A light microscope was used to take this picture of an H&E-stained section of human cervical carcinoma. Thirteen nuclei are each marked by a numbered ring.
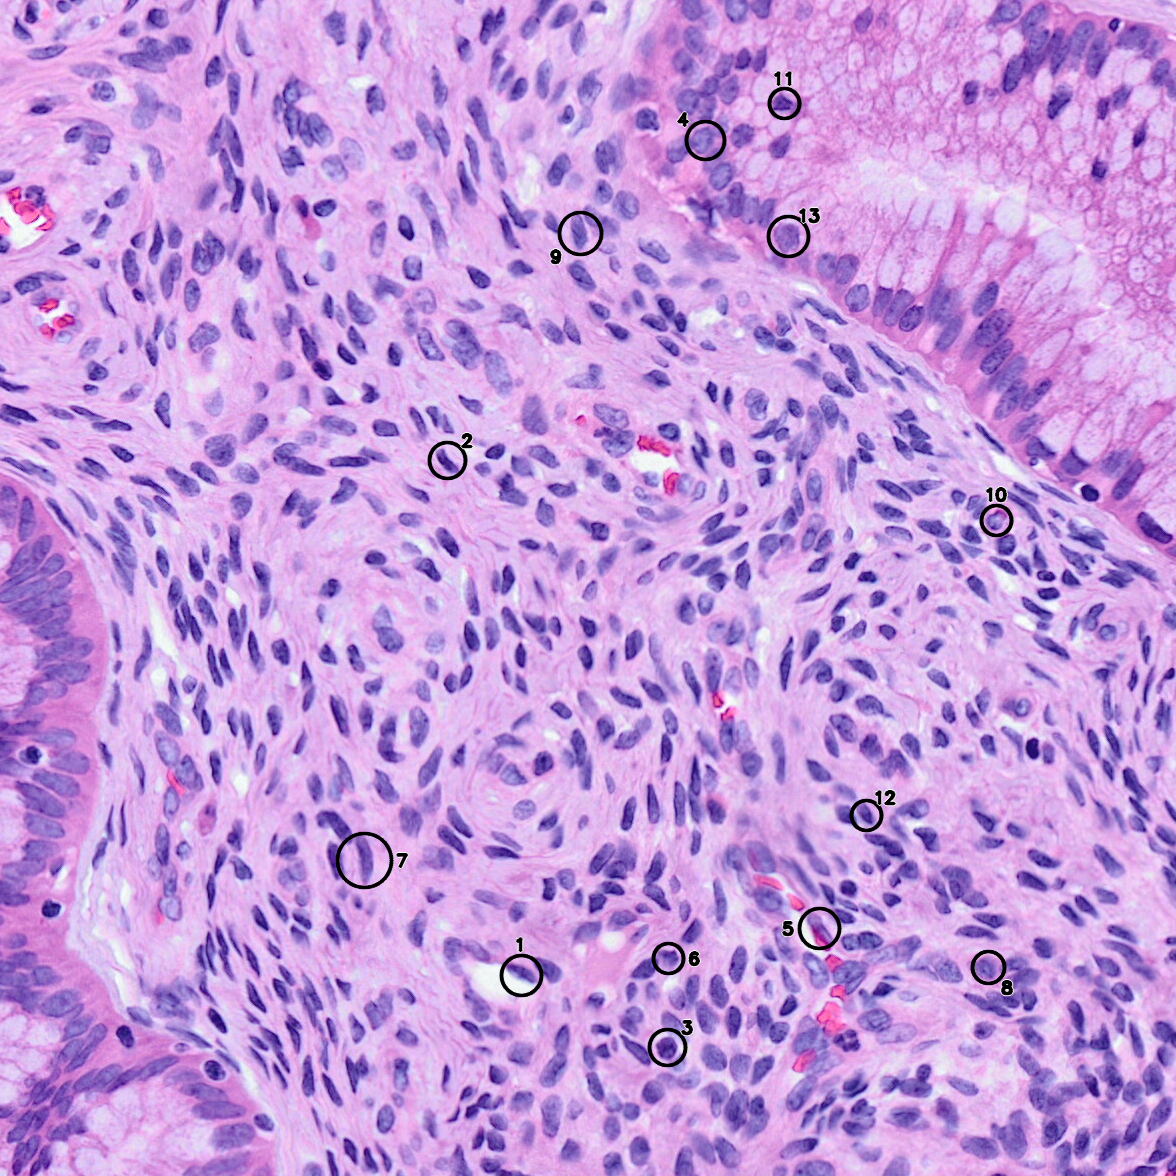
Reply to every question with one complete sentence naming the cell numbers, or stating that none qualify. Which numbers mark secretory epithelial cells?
On this slide, the cells numbered 4, 11 and 13 are secretory epithelial cells.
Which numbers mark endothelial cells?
The cells numbered 1, 5, 8 and 10 are typed as endothelial cells.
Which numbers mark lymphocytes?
Of the numbered cells, only cell 3 is a lymphocyte.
